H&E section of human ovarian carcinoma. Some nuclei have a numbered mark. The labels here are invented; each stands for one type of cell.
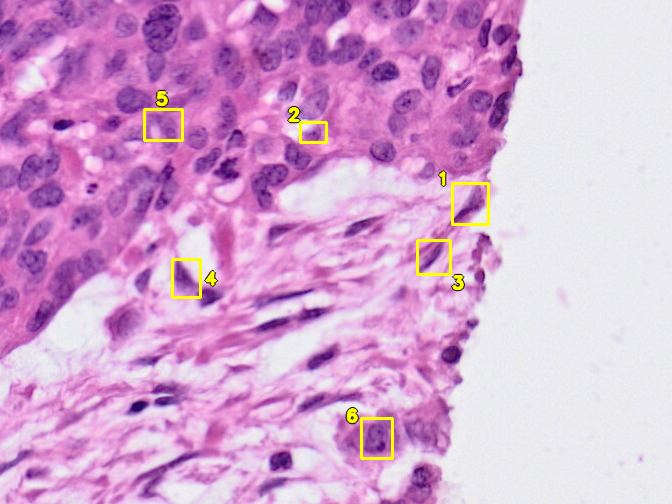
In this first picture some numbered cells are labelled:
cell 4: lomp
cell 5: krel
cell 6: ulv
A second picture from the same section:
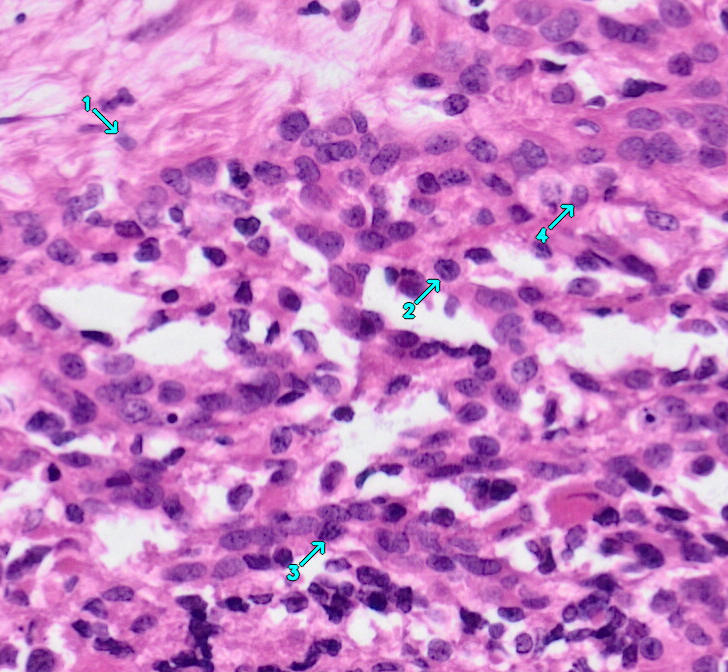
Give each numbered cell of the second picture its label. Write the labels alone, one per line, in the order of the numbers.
lomp
ulv
ulv
ulv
